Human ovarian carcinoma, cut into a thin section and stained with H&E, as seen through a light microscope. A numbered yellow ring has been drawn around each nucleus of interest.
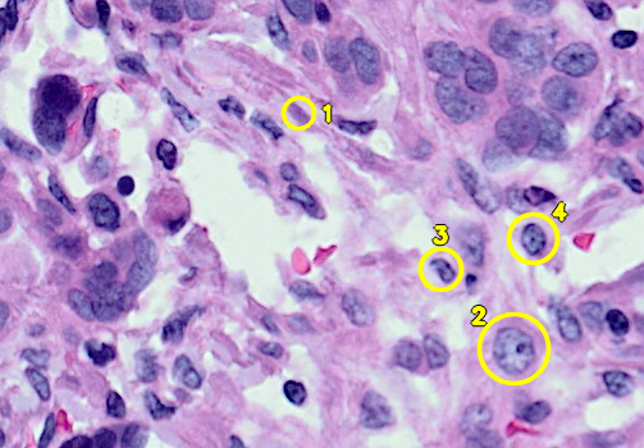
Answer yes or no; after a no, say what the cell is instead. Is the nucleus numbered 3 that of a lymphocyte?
Yes.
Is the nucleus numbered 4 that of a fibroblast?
No, it is a macrophage or monocyte.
